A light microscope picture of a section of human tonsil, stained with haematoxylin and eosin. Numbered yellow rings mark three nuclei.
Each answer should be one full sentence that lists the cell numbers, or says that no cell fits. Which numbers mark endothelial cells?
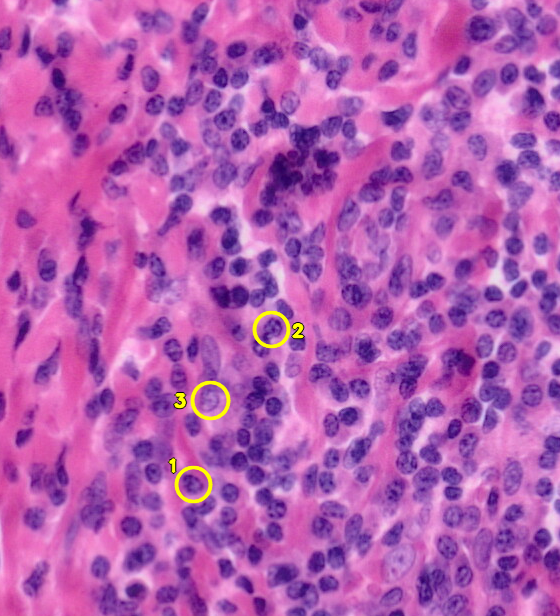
Cell number 3 alone is an endothelial cell; the rest are not.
